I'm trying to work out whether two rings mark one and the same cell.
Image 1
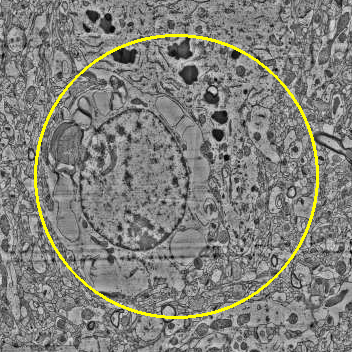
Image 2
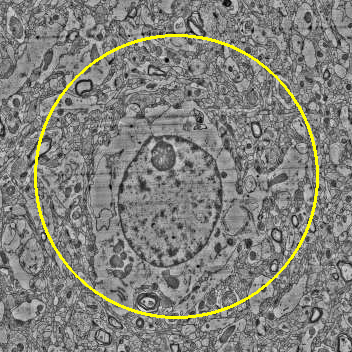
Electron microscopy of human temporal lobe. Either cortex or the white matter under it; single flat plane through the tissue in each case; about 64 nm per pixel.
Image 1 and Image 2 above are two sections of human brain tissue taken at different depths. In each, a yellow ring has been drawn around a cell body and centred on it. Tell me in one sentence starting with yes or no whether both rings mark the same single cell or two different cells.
No, a single cell is not marked twice here; two cells are marked.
